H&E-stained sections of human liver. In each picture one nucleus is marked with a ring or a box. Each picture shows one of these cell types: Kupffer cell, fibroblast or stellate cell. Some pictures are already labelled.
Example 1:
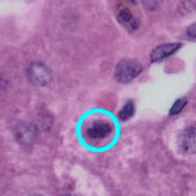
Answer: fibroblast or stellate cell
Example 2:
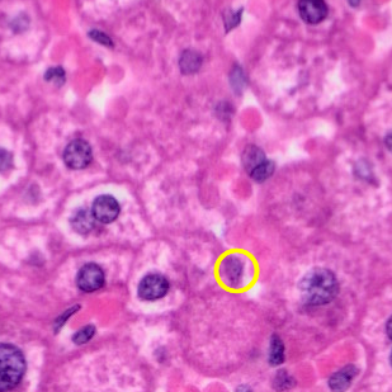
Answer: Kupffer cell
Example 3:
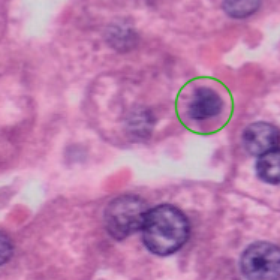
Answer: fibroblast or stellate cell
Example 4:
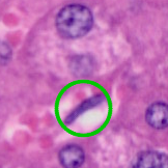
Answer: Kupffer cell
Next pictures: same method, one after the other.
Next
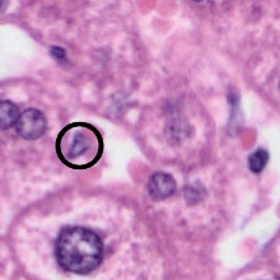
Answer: Kupffer cell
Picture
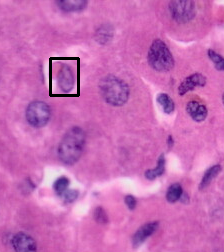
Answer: Kupffer cell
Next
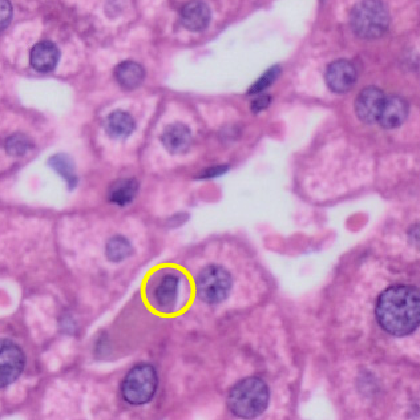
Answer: Kupffer cell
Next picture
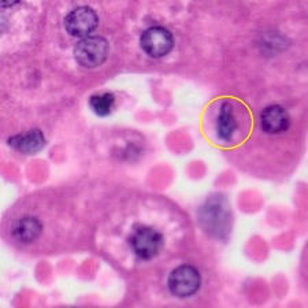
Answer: fibroblast or stellate cell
